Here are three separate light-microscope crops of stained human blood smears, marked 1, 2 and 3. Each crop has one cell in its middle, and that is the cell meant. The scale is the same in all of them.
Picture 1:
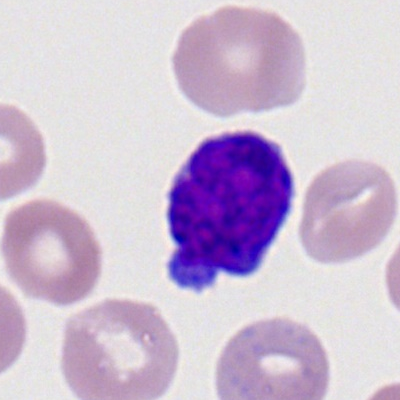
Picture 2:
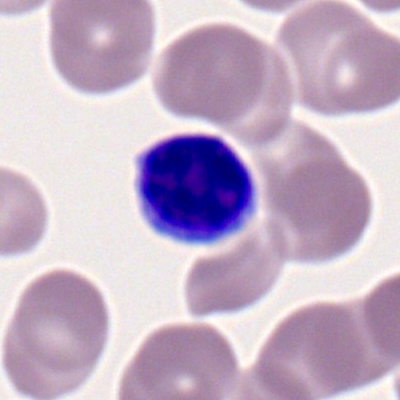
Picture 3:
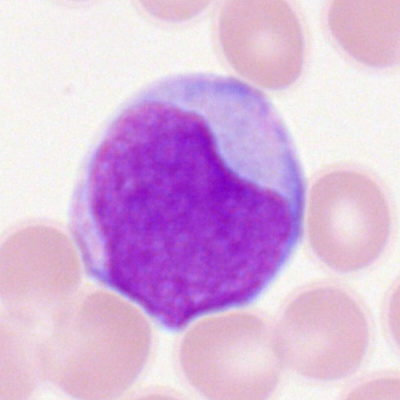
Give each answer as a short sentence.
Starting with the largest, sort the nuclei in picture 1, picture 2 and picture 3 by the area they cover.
The order is 3, 1, 2, beginning with the largest.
